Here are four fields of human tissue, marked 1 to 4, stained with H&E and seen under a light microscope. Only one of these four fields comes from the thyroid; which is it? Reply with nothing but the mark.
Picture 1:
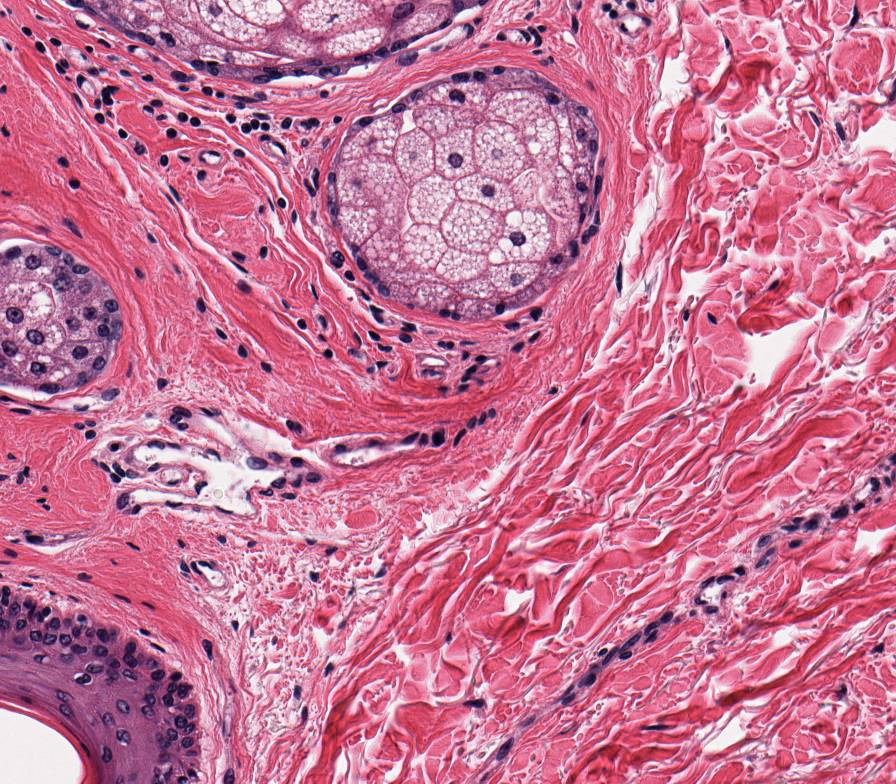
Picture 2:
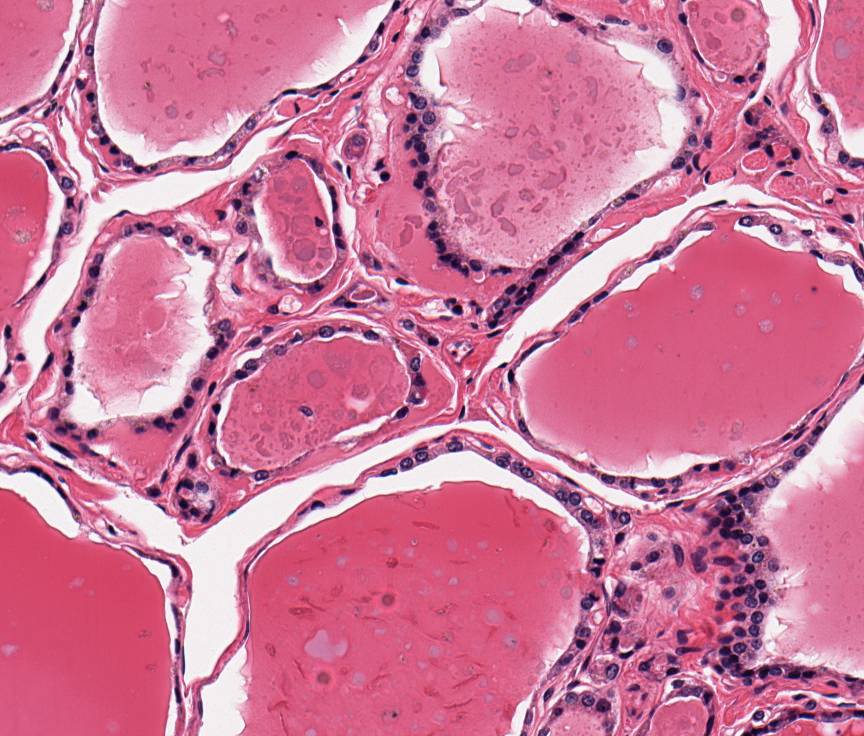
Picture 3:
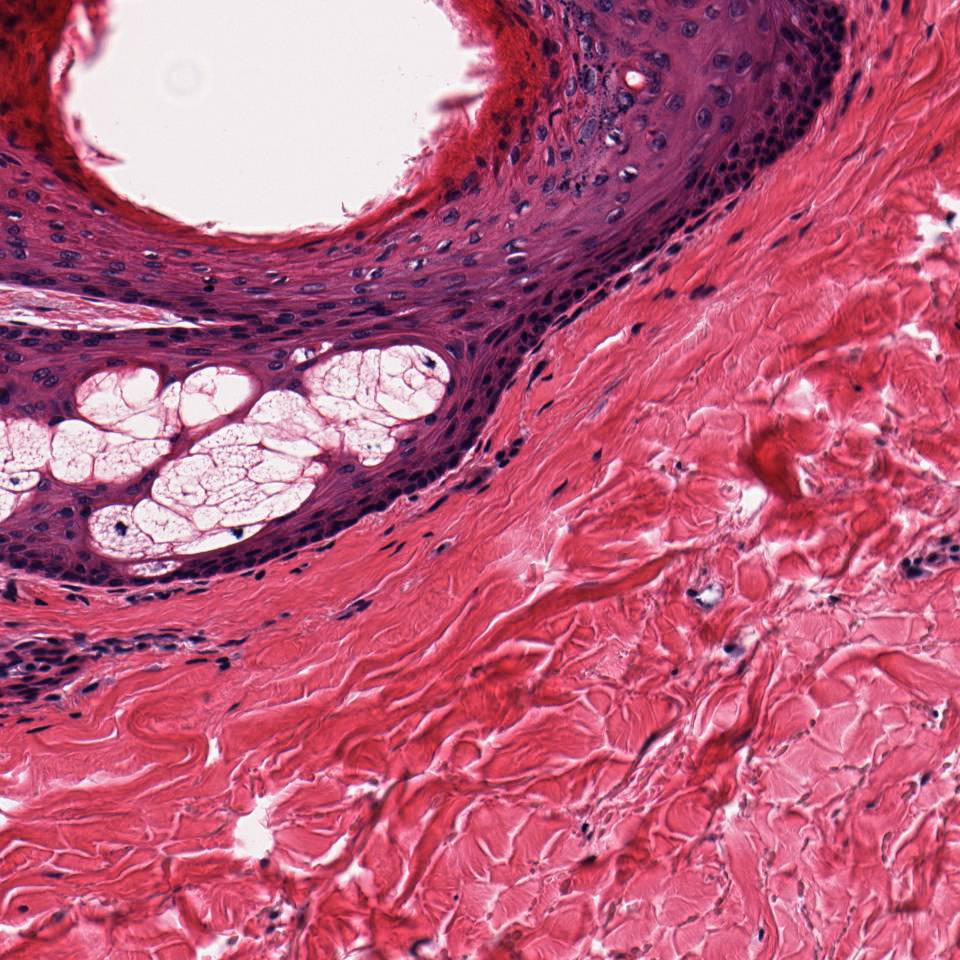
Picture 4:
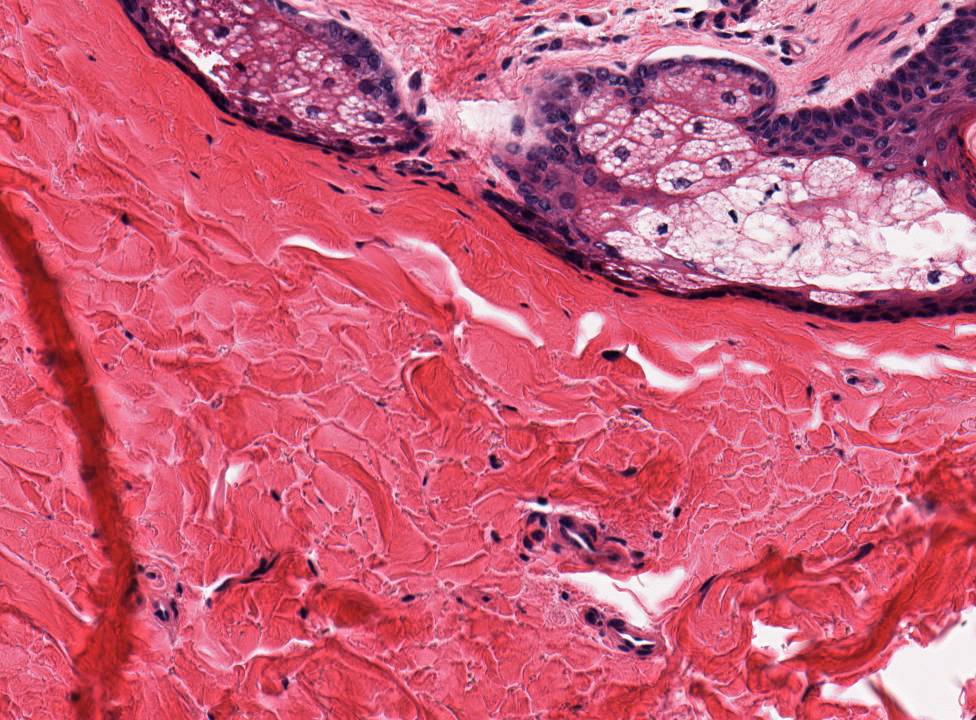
2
